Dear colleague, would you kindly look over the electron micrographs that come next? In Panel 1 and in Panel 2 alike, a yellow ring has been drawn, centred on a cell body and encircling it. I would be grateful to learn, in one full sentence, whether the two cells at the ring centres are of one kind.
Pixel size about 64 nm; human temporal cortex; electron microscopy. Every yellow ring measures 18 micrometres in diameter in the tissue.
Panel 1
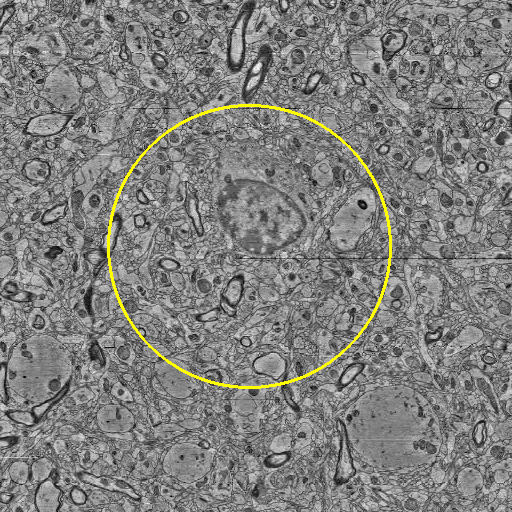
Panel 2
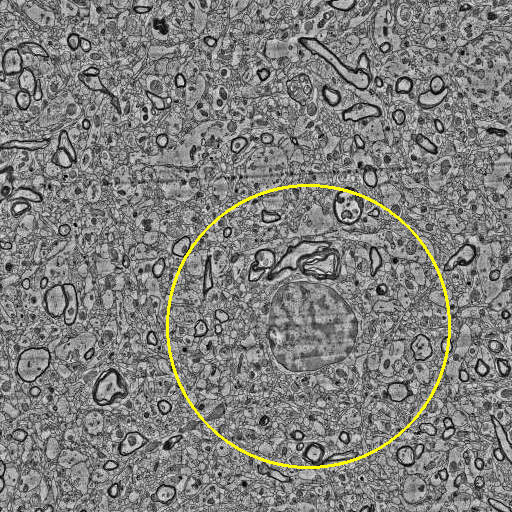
No, the cells in the middle of the rings in the two panels are of two kinds.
